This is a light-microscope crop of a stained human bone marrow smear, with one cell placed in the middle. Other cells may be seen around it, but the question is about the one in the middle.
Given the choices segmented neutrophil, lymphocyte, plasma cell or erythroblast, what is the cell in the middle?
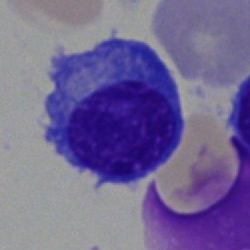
plasma cell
